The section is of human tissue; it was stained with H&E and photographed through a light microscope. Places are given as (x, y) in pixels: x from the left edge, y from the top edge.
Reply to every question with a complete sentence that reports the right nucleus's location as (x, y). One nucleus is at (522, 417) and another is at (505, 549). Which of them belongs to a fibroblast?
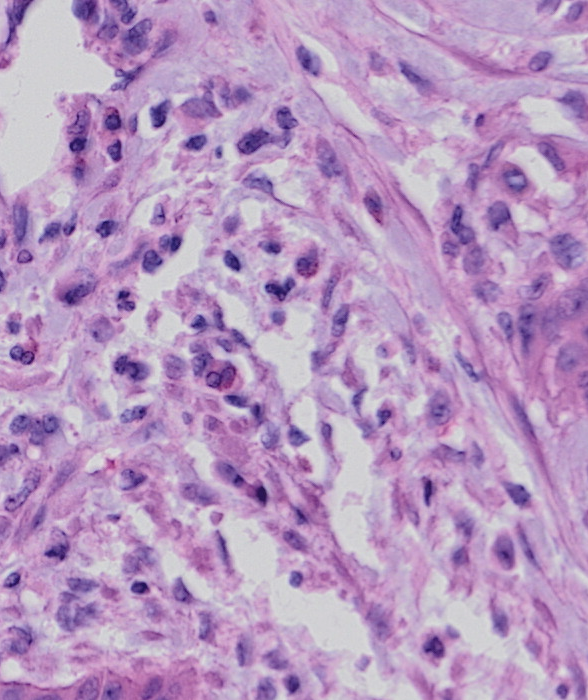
The nucleus that belongs to a fibroblast sits at (522, 417).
